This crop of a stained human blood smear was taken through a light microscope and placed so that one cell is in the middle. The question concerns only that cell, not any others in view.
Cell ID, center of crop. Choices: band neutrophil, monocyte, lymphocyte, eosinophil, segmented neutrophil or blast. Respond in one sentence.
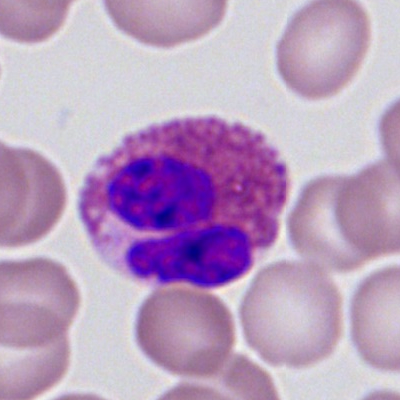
At the center of the crop sits an eosinophil.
